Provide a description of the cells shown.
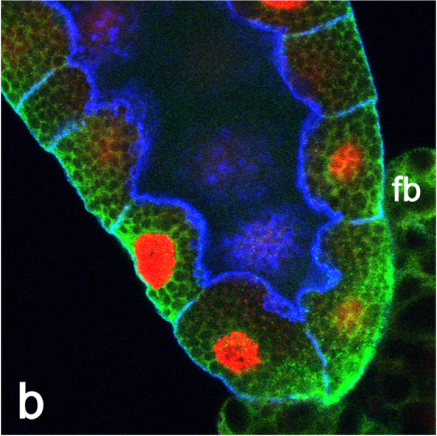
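This is the end of a salivary gland, with a single layer of large epithelial cells arranged around a wide central lumen. Each cell's cytoplasm is a green meshwork packed with small dark round secretory granules, and some cells show a large rounded red nucleus. A bright blue line marks the cell borders and the apical surface facing the lumen.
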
